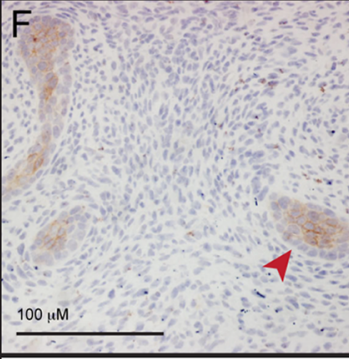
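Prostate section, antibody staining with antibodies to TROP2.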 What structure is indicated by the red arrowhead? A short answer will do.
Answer: Buds.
